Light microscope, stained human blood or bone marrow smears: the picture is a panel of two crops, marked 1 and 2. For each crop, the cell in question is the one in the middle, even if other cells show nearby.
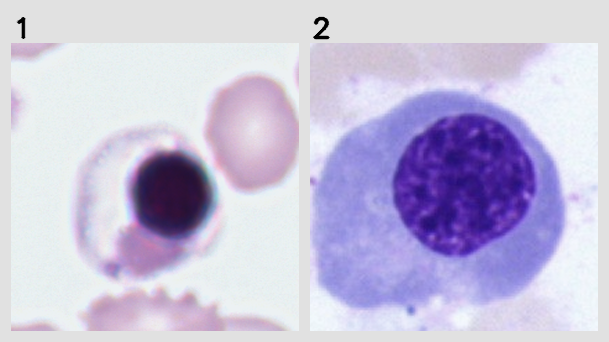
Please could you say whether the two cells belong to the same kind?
yes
